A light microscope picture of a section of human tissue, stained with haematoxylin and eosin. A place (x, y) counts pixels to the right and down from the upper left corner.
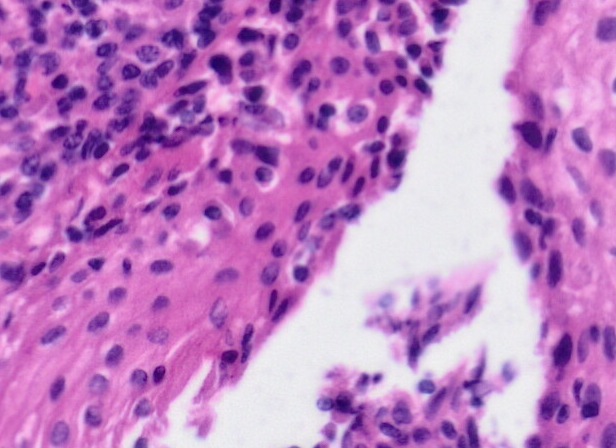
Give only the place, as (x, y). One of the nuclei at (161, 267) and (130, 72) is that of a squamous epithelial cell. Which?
(161, 267)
